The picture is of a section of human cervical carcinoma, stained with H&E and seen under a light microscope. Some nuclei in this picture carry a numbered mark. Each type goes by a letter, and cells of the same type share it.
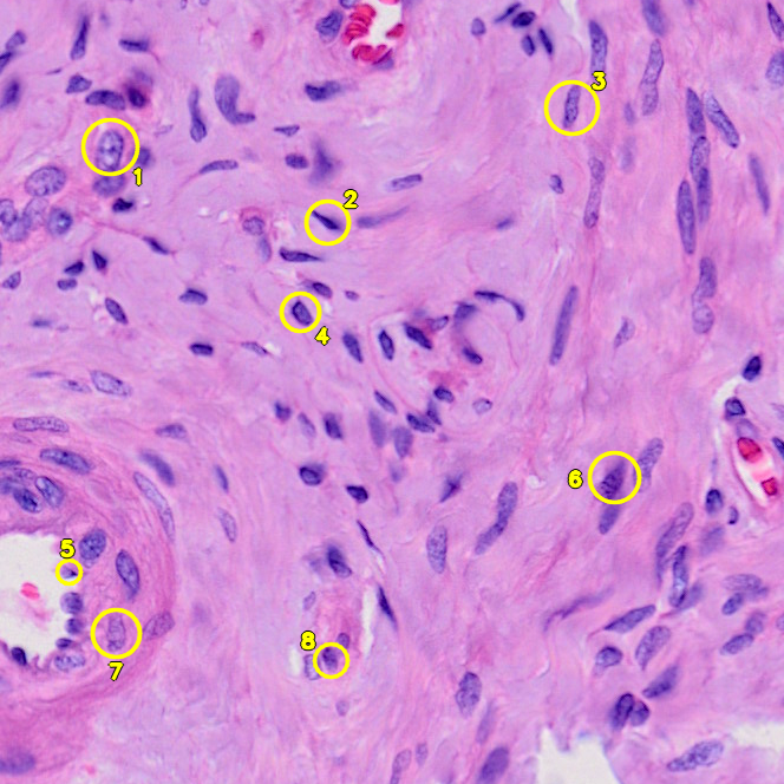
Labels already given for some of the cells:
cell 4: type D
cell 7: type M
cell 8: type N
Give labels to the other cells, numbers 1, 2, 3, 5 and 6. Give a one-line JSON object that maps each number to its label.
{"1": "type N", "2": "type D", "3": "type D", "5": "type N", "6": "type D"}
